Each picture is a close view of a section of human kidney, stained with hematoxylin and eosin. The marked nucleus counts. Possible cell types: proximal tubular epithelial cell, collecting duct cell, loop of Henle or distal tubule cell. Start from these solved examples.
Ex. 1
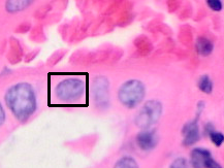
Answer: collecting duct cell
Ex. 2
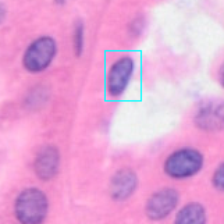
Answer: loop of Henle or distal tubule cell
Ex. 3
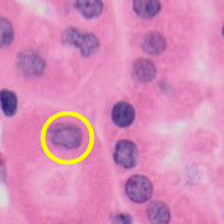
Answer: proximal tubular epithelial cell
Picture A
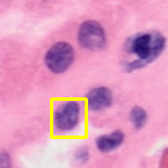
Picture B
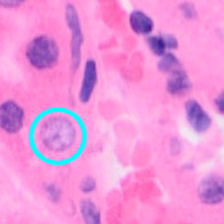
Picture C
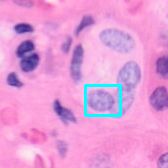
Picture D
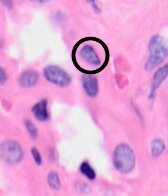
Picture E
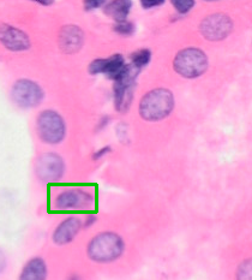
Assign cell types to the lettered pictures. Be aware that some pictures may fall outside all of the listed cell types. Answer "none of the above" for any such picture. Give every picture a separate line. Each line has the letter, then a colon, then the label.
A: loop of Henle or distal tubule cell
B: proximal tubular epithelial cell
C: collecting duct cell
D: collecting duct cell
E: collecting duct cell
